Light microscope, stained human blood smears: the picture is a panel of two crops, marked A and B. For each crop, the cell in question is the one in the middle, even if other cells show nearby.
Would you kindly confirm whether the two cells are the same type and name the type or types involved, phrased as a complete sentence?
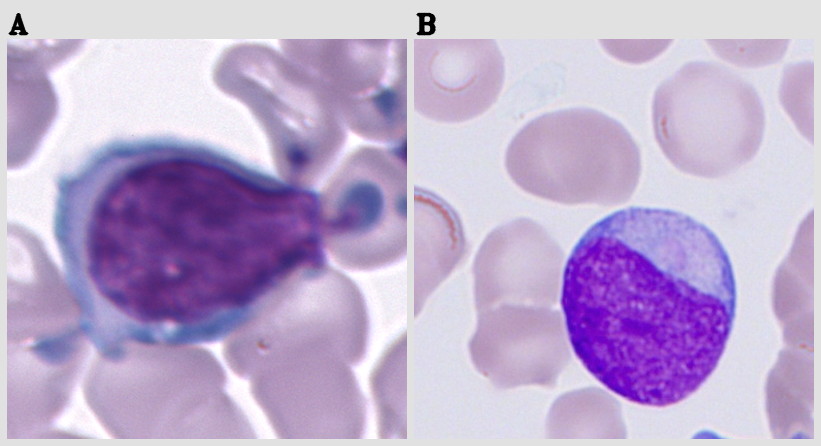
Yes, the centre cells of both crops are blasts.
